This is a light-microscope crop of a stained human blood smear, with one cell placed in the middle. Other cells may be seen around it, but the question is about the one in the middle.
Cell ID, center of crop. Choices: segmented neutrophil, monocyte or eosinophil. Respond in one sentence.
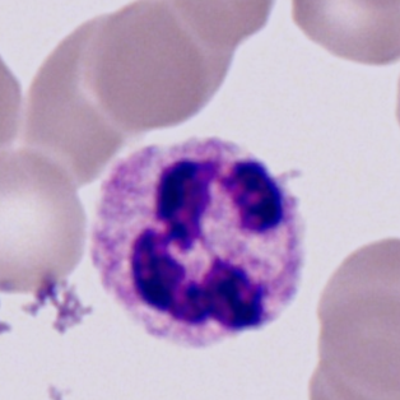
By type, the central cell of the crop is a segmented neutrophil.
